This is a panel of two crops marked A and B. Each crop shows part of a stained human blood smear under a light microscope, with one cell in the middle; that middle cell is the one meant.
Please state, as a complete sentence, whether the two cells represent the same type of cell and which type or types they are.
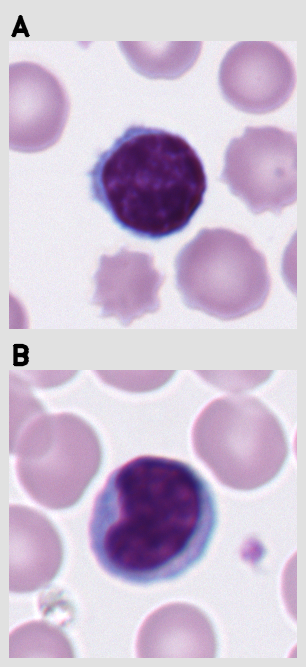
Yes, shown in both crops are typical lymphocytes.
